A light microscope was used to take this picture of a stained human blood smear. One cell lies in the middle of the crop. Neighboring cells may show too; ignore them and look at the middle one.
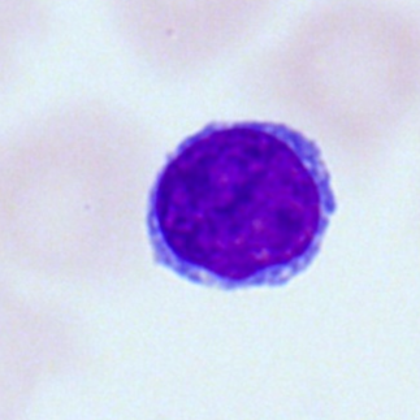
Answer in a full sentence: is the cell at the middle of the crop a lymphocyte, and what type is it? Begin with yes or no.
Yes, the identification of the central cell as a lymphocyte is correct.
